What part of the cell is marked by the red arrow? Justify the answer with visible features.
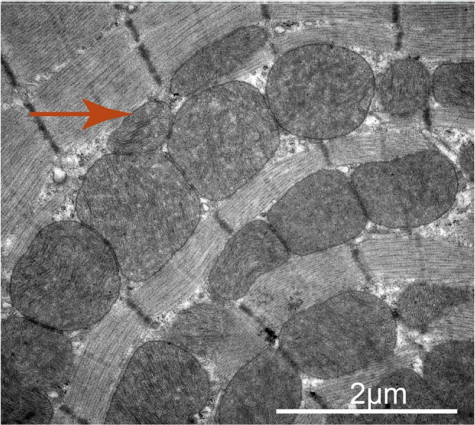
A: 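The arrow points to an oval body with densely packed internal membranes. Many such rounded bodies lie between striated fibrils. So: mitochondria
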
